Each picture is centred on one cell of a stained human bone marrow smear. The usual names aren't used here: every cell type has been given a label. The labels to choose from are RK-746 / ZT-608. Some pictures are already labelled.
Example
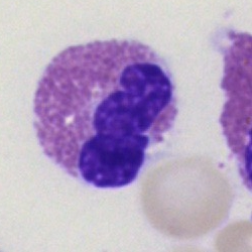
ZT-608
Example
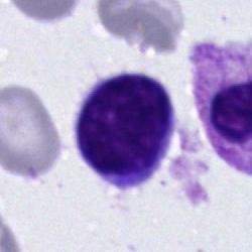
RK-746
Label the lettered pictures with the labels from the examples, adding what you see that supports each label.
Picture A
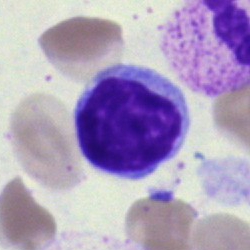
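RK-746: The cytoplasm forms only a thin rim around the nucleus.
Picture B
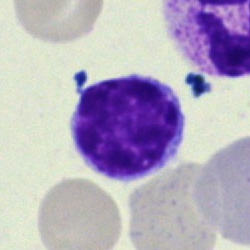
RK-746: Only a very thin rim of cytoplasm shows around the nucleus.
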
